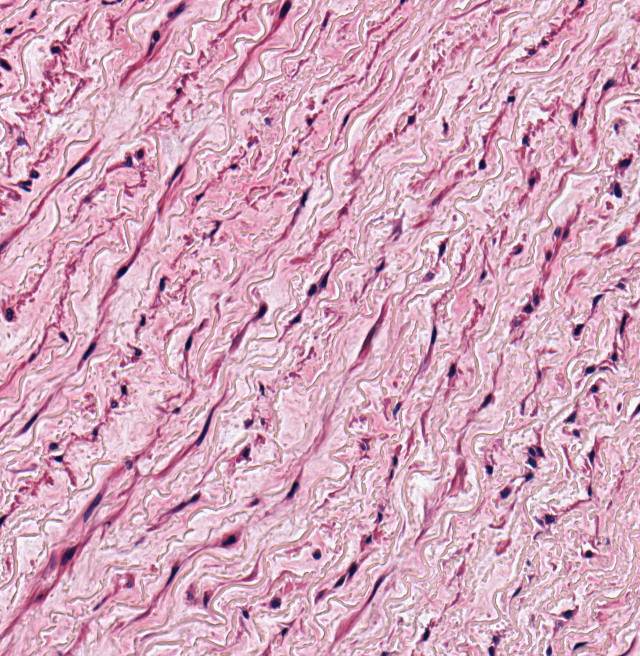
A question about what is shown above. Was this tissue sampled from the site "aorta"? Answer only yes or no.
yes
